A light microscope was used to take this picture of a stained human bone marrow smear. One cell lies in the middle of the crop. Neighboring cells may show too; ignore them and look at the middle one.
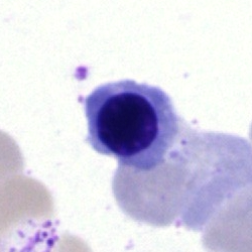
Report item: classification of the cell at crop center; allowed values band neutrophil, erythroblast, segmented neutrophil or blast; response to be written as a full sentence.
Located at the centre of the crop is an erythroblast.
